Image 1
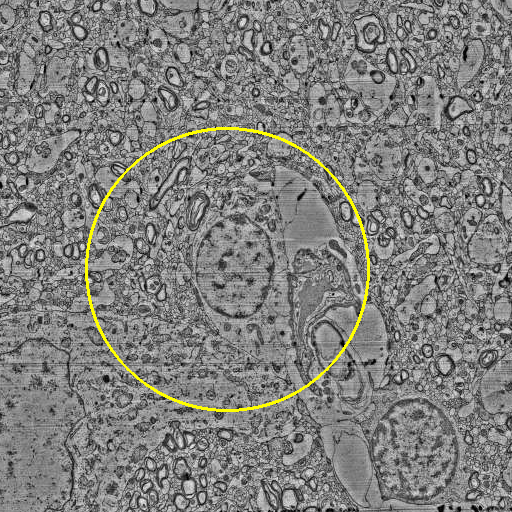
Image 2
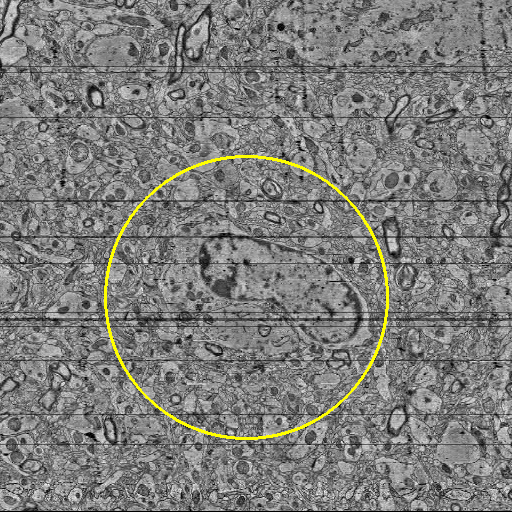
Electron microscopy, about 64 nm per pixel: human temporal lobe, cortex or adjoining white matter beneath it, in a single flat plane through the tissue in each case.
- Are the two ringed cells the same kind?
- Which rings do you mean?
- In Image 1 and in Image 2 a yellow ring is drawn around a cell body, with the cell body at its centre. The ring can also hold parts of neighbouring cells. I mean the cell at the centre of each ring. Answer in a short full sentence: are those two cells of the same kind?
Yes, both cells are of the same kind.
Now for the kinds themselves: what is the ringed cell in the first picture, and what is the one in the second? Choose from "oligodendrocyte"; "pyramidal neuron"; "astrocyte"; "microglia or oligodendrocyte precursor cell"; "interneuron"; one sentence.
Both rings mark a microglial cell or oligodendrocyte precursor cell, one in each picture.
